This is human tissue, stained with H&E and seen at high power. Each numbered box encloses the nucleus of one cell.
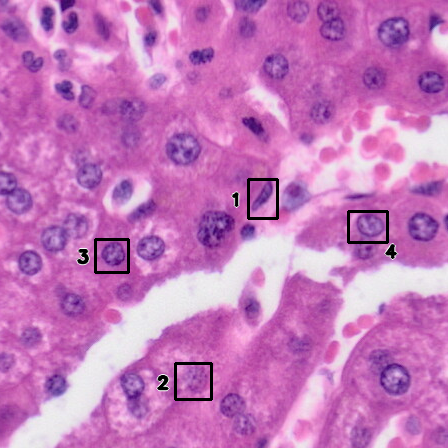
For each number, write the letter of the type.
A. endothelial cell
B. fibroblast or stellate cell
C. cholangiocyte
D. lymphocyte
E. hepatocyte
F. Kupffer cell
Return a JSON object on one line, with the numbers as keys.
{"1": "B", "2": "E", "3": "E", "4": "E"}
